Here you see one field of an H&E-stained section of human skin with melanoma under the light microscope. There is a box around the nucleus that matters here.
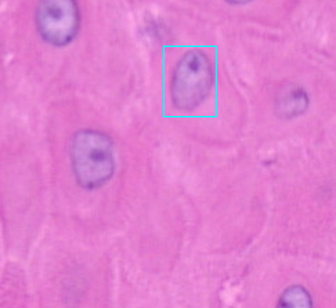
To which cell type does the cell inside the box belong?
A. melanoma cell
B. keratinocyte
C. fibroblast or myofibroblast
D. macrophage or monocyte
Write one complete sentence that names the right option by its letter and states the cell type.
Identified correctly by option B, the cell inside the box is a keratinocyte.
